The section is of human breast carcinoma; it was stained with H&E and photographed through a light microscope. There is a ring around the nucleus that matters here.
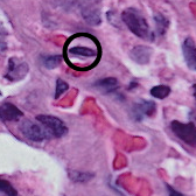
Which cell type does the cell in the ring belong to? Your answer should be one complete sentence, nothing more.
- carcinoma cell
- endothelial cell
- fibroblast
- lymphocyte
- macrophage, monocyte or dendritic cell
In the context of this tissue, the cell in the ring is an endothelial cell.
